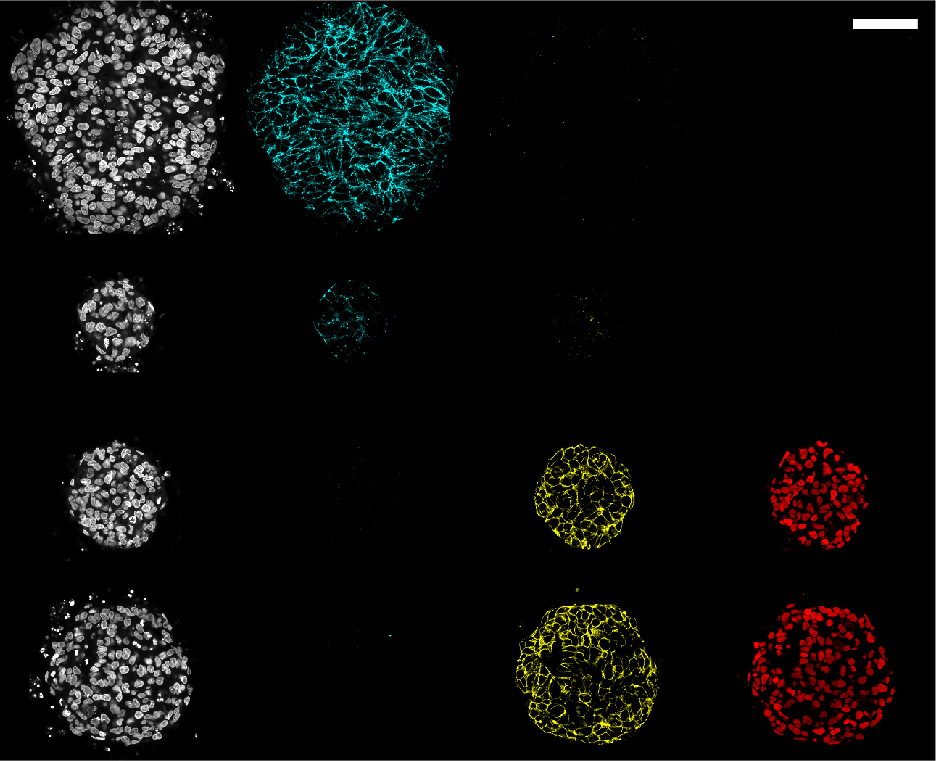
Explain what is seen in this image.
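Rounded, compact multicellular clusters of three-dimensional cell culture are seen, each packed with many small oval nuclei shown in grey. In the upper rows a cyan net outlines the borders between neighbouring cells, while in the lower rows a yellow net traces the cell borders instead and red fills the nuclei throughout the cluster. The clusters differ in size from row to row, and small bright fragments lie scattered at some cluster edges.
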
